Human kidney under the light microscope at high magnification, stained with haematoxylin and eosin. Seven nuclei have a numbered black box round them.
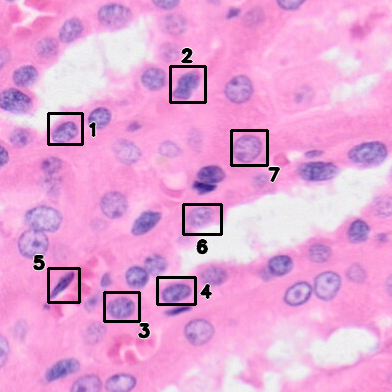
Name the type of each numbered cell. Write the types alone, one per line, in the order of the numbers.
loop of Henle or distal tubule cell
endothelial cell
loop of Henle or distal tubule cell
loop of Henle or distal tubule cell
endothelial cell
loop of Henle or distal tubule cell
proximal tubule cell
